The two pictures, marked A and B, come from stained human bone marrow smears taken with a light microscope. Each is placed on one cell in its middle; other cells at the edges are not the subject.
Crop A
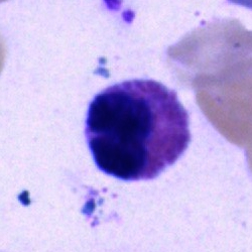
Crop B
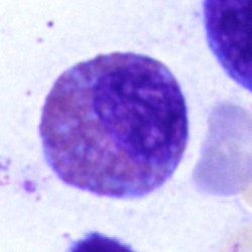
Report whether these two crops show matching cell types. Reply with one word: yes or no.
yes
